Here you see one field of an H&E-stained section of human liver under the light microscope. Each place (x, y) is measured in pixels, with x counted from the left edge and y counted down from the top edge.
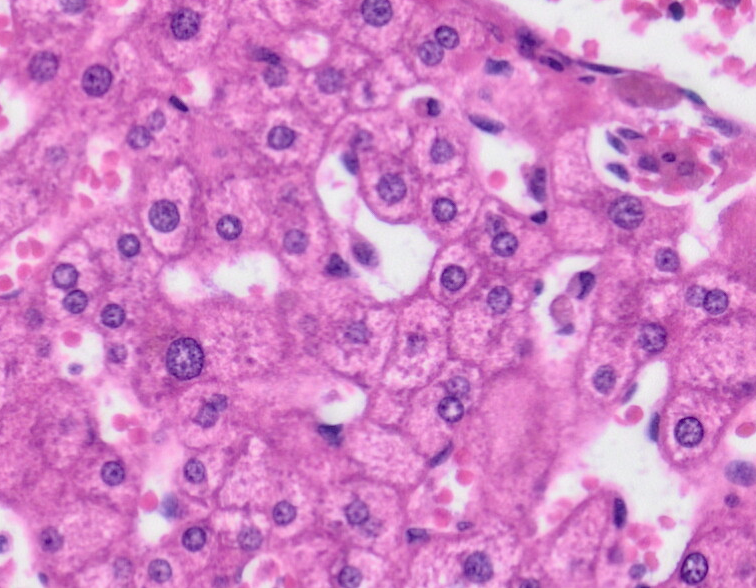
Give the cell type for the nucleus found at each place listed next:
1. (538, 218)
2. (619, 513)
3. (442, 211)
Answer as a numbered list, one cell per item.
1. fibroblast or stellate cell
2. fibroblast or stellate cell
3. hepatocyte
